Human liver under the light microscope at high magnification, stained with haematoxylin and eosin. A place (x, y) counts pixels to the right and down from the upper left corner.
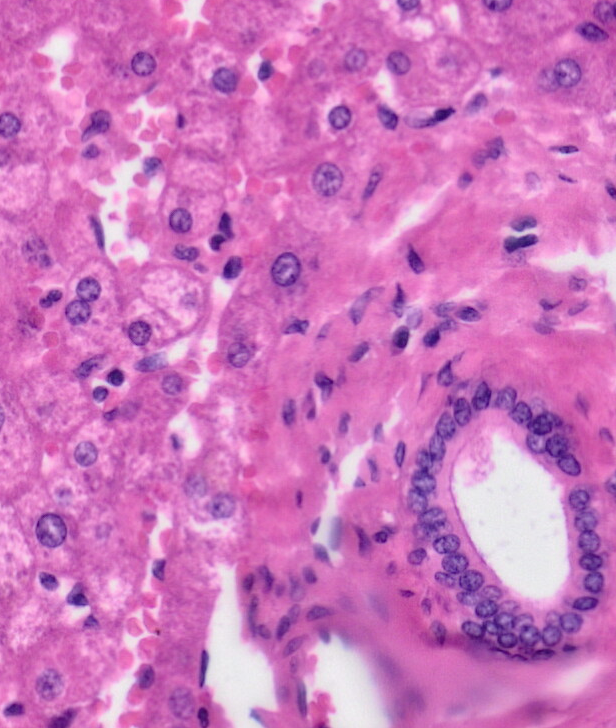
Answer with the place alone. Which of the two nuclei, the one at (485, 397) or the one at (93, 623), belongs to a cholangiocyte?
(485, 397)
